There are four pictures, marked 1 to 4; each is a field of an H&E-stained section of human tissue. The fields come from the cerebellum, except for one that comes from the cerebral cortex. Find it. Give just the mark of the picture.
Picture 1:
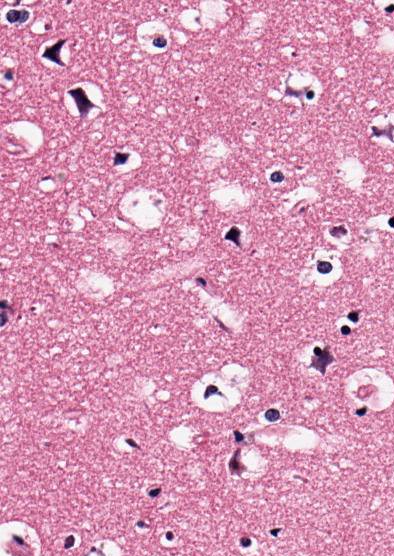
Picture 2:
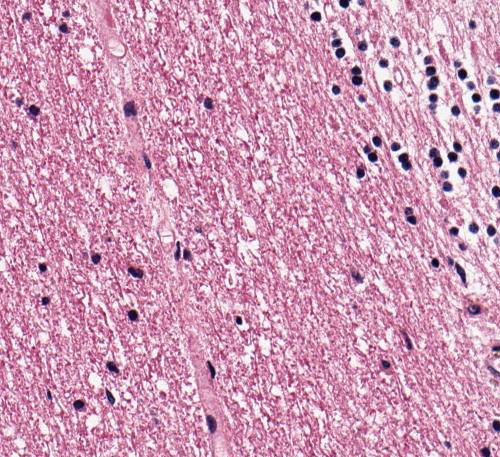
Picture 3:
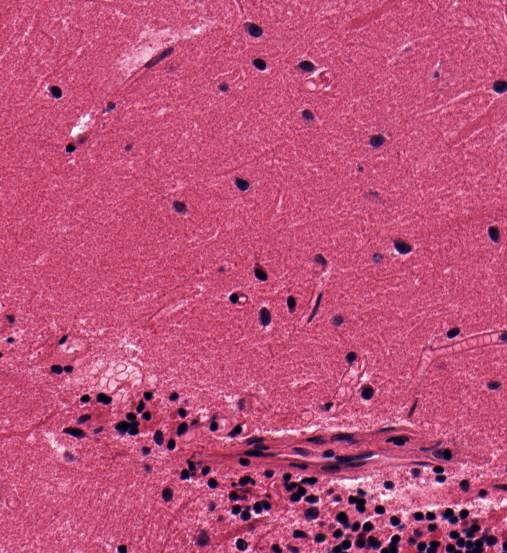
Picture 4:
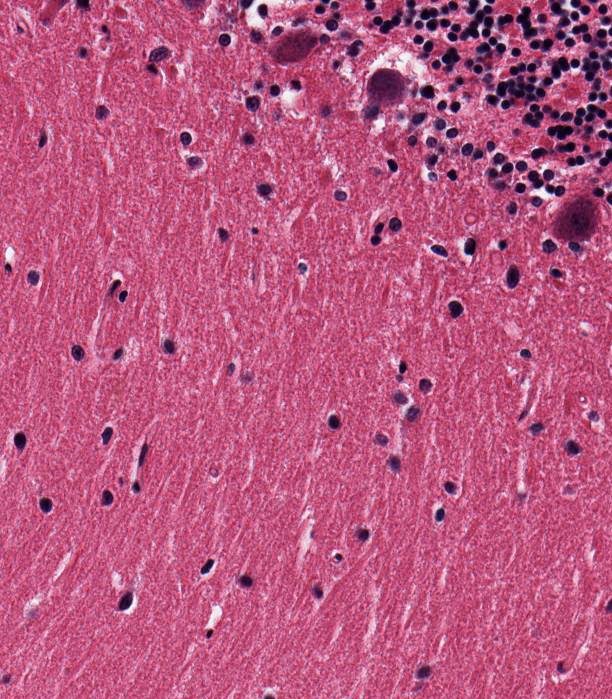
1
